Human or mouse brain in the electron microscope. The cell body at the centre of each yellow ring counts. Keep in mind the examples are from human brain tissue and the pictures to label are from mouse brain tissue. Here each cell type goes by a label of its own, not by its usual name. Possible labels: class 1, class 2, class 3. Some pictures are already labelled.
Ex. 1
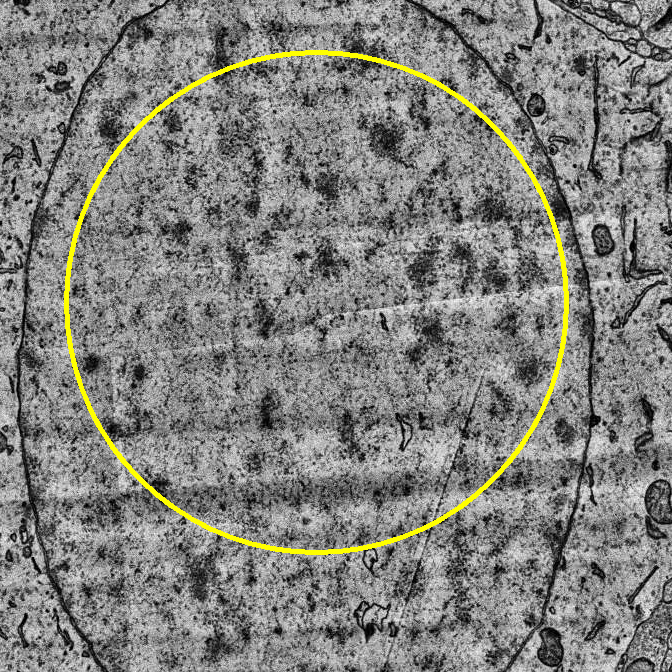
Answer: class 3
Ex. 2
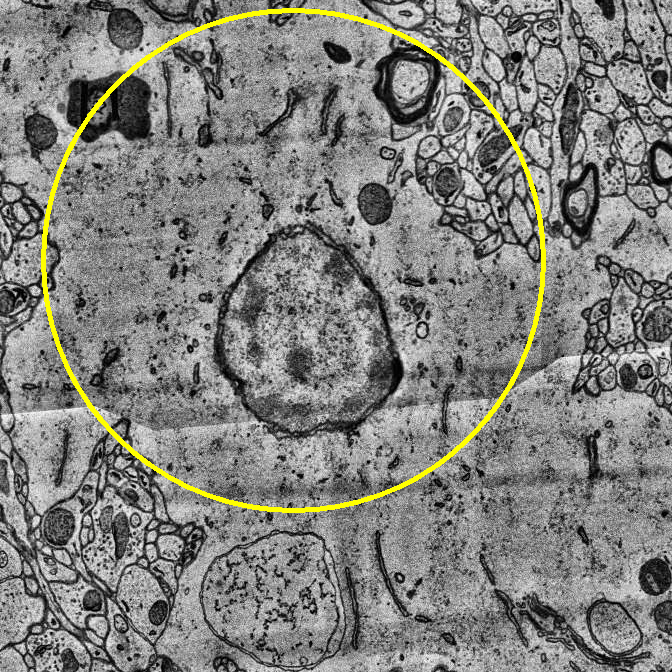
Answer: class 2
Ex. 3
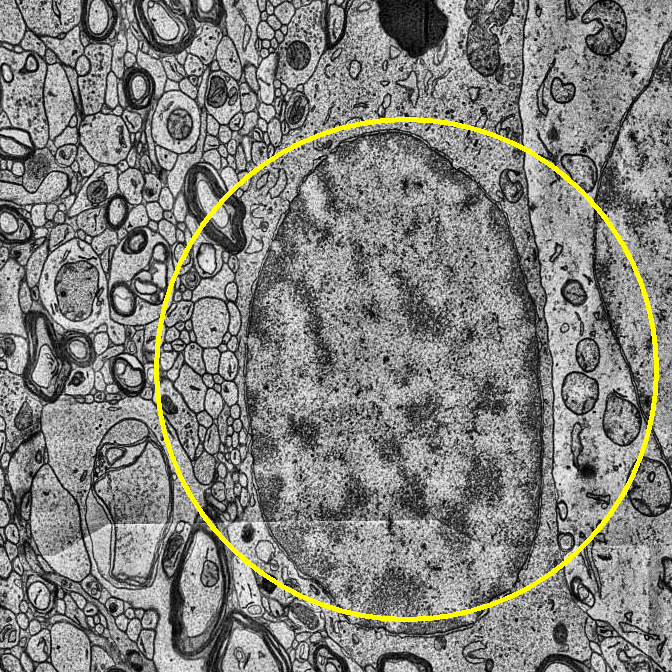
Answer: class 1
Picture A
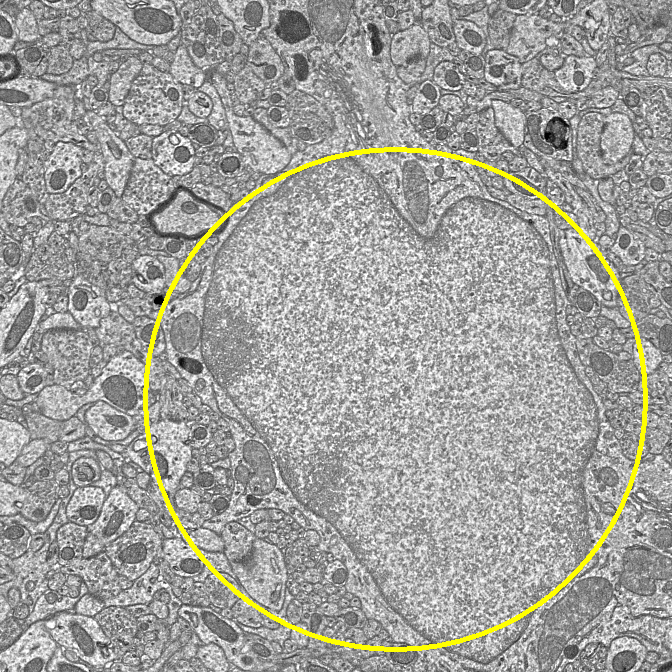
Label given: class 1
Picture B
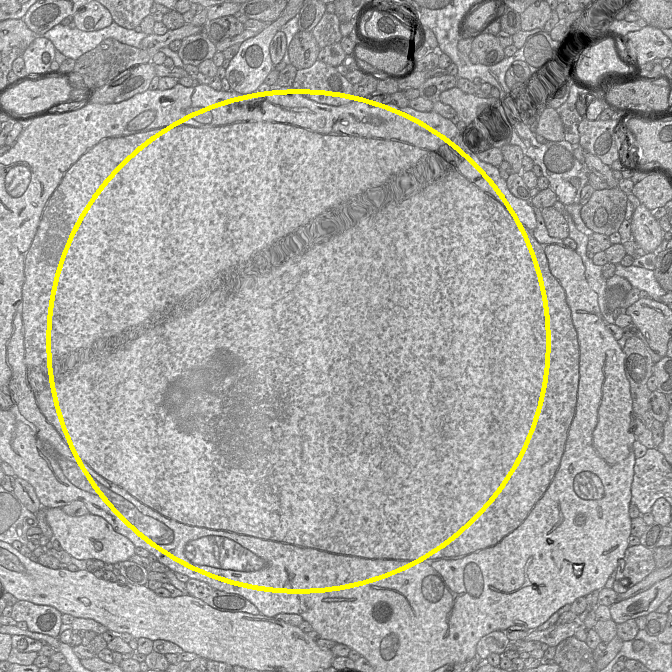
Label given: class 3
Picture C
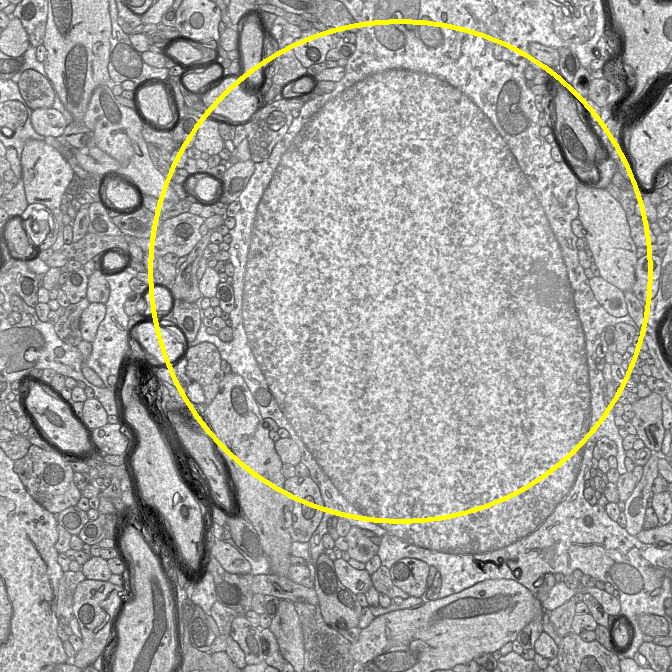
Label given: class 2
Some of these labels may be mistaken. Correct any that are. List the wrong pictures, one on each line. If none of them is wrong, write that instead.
A: change class 1 to class 2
